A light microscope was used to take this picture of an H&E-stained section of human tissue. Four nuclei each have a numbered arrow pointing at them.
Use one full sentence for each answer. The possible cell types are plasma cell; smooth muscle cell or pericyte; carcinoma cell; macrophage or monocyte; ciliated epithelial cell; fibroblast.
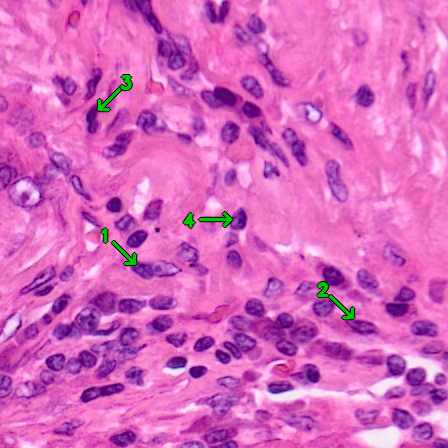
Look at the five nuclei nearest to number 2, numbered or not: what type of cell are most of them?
Plasma cells make up most of the five nuclei closest to number 2.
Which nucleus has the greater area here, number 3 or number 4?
It is nucleus 4, which covers about 2 times the area of nucleus 3.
